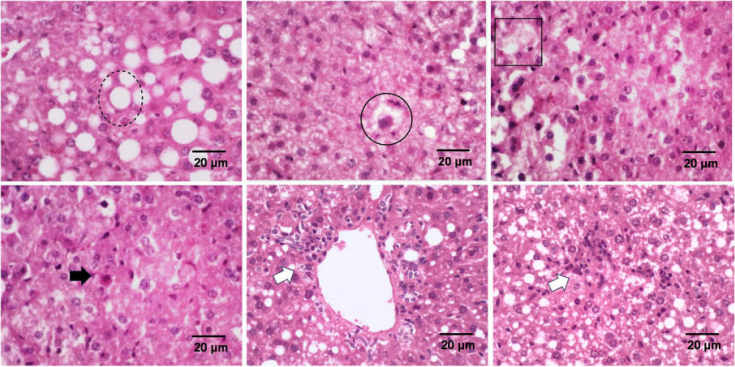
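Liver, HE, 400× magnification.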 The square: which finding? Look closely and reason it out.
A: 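The square frames a pale, swollen cell with cleared, wispy cytoplasm. The framed cell is paler than the surrounding pink hepatocytes.
Answer: cell ballooning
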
